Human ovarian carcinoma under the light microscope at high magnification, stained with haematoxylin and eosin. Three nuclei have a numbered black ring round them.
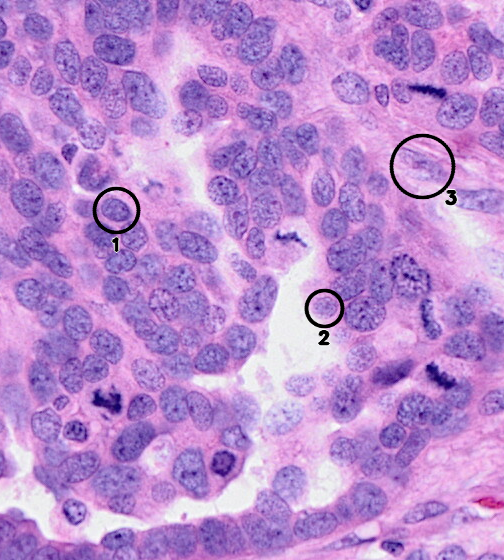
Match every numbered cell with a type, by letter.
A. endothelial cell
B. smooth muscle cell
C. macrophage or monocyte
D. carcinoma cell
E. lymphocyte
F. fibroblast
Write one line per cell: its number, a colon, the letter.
1: D
2: D
3: F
